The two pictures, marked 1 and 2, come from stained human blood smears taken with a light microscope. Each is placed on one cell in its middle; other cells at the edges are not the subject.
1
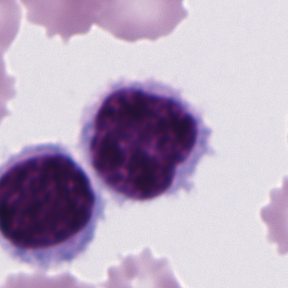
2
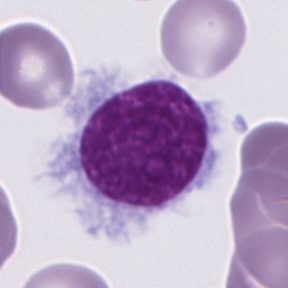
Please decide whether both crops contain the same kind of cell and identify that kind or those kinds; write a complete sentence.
Yes, the centre cells of both crops are hairy cells.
